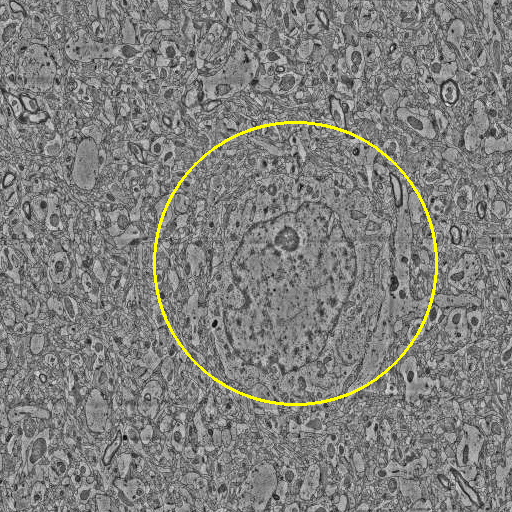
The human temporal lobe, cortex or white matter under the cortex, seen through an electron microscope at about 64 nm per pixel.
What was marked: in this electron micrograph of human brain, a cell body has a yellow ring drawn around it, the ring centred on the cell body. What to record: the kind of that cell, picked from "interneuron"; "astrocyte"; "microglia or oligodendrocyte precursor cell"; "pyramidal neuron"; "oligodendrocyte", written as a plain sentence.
The centred cell is an interneuron.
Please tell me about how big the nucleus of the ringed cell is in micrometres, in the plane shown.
In this plane the nucleus is about 11 micrometres by 8.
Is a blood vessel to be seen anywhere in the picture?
No, no blood vessel can be seen.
